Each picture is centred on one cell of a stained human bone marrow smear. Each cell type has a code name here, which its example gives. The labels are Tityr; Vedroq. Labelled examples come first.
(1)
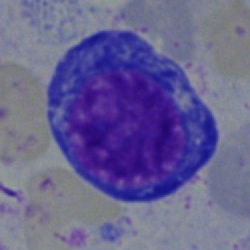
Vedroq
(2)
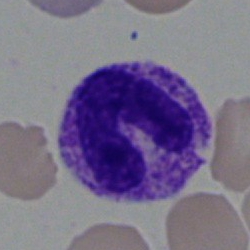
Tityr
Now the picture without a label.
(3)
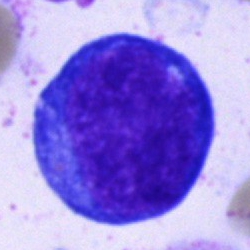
Vedroq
